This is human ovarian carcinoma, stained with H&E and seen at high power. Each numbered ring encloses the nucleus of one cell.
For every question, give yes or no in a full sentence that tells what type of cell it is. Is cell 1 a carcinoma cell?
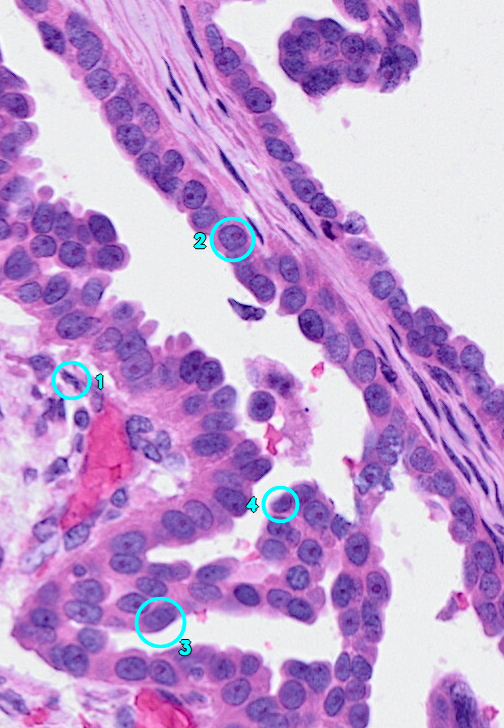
No, calling cell 1 a carcinoma cell is incorrect; it is a fibroblast.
